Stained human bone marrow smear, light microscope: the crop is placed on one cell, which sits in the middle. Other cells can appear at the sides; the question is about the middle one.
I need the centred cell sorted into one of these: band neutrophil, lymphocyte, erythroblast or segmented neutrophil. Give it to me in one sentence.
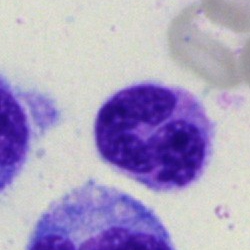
The cell in the middle of this crop is a band neutrophil.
